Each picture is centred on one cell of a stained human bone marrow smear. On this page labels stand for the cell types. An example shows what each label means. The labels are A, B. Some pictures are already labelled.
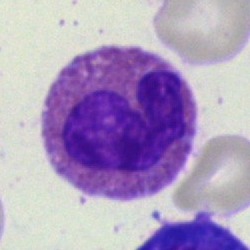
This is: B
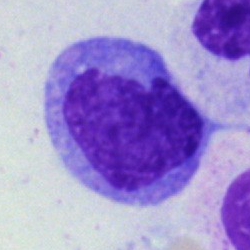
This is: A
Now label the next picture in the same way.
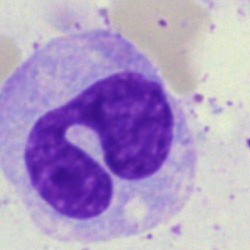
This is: A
